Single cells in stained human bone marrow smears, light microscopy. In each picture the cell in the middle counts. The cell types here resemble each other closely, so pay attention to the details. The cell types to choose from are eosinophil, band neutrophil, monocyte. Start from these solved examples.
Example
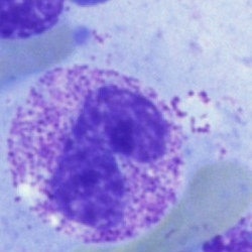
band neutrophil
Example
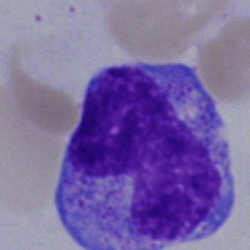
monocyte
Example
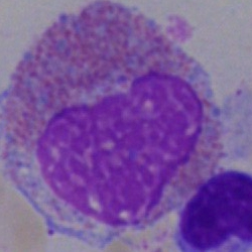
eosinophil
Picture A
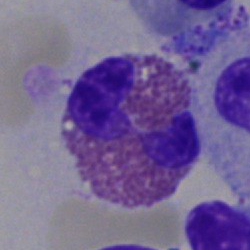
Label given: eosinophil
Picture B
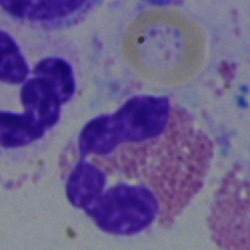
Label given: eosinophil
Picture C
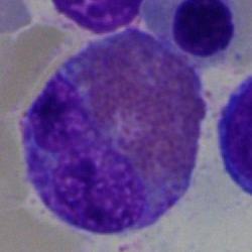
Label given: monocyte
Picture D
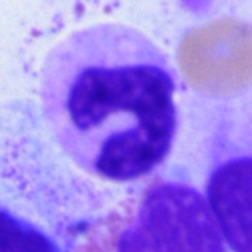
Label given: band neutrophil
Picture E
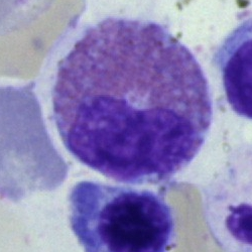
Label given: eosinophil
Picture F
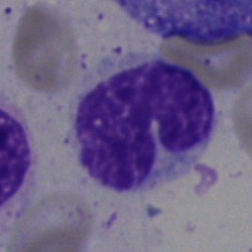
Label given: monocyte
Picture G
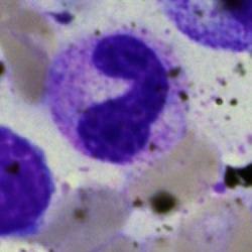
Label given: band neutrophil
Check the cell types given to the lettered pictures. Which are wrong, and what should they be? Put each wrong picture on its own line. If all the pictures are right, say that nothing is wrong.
C: not monocyte but eosinophil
